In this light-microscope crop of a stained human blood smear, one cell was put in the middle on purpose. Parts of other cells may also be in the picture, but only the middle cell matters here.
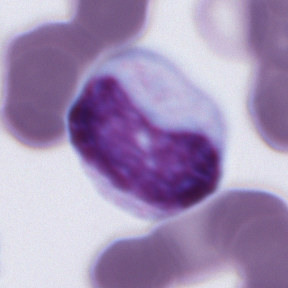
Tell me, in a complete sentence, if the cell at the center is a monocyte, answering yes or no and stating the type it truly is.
No, the central cell is not to be called a monocyte, being a band neutrophil.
